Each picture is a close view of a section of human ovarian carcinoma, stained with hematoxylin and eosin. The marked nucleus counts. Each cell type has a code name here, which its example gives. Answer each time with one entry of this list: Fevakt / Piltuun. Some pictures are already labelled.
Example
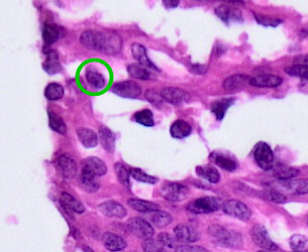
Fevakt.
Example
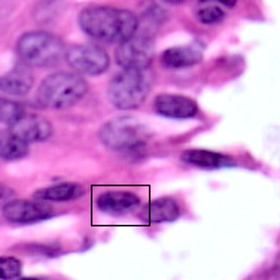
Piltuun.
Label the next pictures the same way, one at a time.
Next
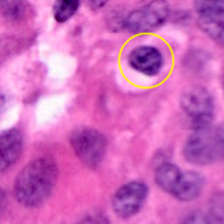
Piltuun.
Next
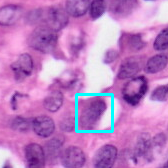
Fevakt.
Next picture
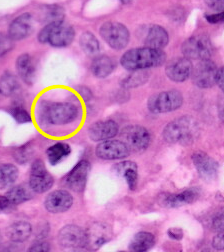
Fevakt.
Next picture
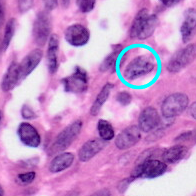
Piltuun.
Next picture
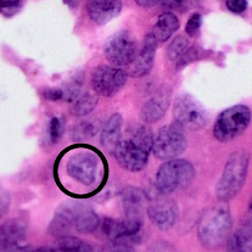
Piltuun.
